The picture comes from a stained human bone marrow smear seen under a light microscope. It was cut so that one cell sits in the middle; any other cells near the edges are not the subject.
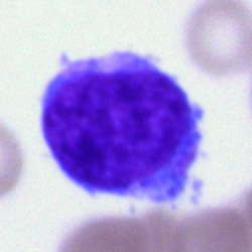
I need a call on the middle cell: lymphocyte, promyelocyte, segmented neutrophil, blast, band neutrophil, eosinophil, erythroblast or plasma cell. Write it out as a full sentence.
The target cell in the middle of the crop is a blast.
